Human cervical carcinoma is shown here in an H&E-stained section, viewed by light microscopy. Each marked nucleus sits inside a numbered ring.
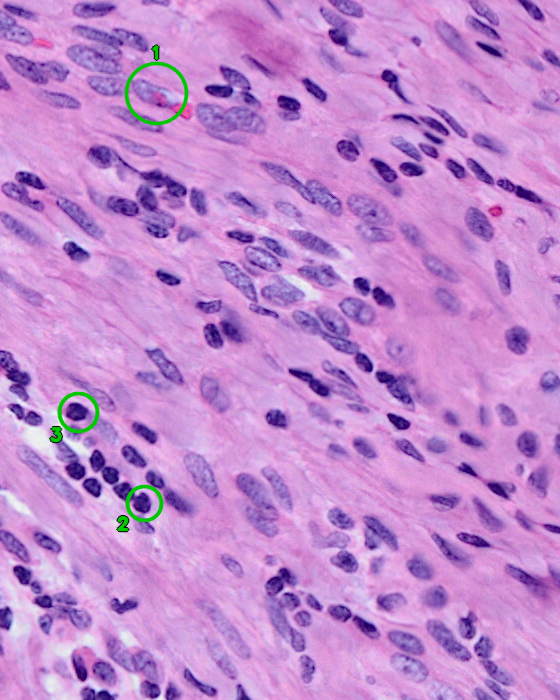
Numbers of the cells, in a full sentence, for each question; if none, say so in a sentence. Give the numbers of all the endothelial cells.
Being an endothelial cell is true of cell 1 and of no other numbered cell.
